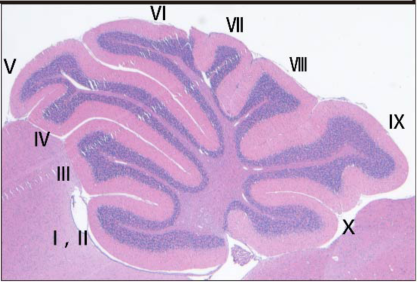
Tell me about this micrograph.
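A midsagittal section of the cerebellum shows a tree-like series of deeply folded lobules. Each folium has a pale pink outer molecular layer over a dense dark purple band of small granule cell nuclei, surrounding a paler central white matter core that branches toward the base.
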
